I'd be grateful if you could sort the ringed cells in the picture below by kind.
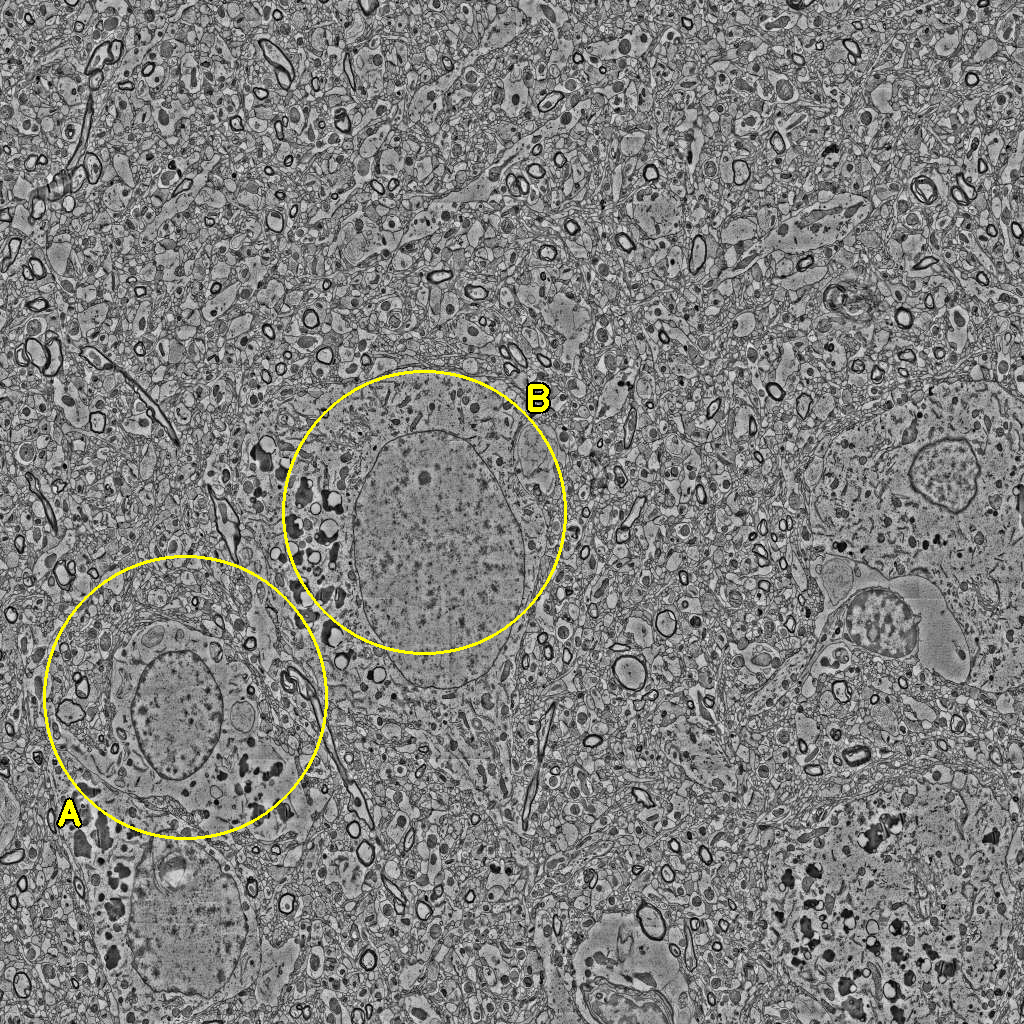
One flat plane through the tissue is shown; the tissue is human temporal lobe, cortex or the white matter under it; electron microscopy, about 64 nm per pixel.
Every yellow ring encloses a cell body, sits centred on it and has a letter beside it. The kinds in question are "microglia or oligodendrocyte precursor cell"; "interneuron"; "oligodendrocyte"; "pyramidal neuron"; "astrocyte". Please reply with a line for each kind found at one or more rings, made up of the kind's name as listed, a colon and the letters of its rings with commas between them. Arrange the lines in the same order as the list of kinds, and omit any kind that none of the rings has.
pyramidal neuron: B
astrocyte: A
